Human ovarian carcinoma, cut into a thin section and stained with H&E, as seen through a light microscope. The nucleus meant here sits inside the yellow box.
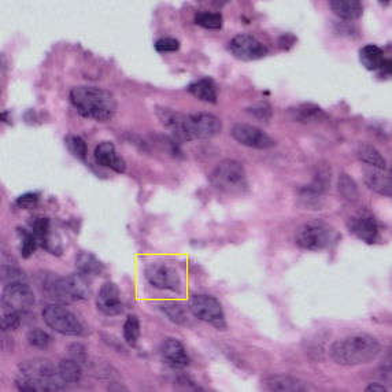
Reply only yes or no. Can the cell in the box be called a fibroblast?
no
